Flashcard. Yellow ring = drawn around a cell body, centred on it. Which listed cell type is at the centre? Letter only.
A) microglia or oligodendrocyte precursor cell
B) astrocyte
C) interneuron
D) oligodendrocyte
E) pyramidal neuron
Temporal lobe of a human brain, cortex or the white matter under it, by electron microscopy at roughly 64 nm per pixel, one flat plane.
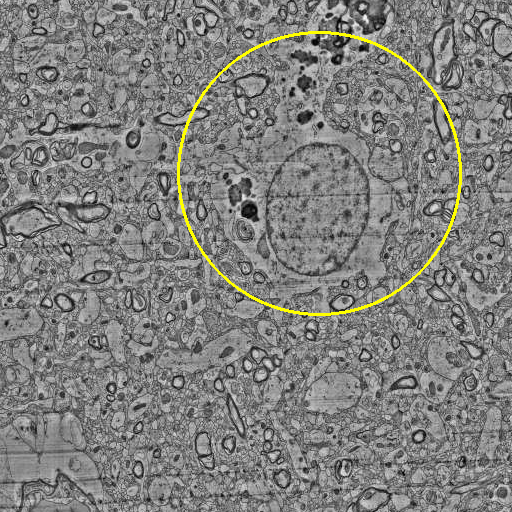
B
